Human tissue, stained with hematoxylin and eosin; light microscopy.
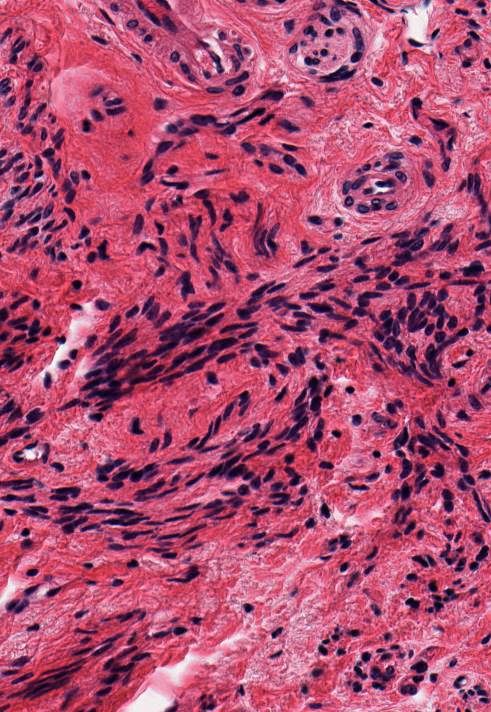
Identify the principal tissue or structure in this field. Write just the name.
smooth muscle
